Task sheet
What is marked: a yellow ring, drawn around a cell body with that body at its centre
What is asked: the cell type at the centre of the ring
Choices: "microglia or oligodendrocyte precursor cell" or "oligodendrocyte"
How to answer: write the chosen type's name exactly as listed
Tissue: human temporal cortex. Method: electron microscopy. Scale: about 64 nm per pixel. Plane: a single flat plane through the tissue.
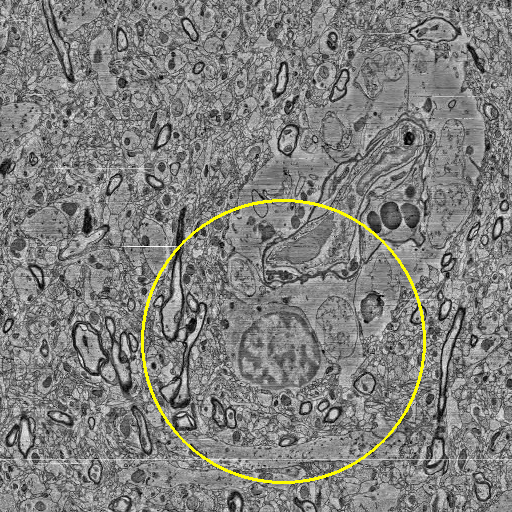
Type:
oligodendrocyte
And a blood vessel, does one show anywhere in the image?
Yes, a blood vessel shows in the picture.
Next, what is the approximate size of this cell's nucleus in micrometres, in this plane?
The nucleus has a long axis of about 6 micrometres and a short axis of about 5 micrometres in this plane.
